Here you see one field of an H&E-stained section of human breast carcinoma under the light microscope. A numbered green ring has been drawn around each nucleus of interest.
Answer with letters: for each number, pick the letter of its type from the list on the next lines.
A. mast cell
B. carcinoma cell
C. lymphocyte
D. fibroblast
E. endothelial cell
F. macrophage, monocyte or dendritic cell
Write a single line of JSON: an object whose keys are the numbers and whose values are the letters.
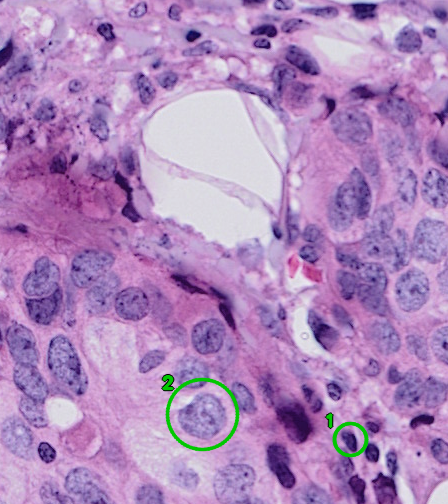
{"1": "C", "2": "B"}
